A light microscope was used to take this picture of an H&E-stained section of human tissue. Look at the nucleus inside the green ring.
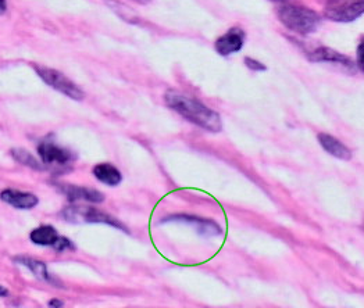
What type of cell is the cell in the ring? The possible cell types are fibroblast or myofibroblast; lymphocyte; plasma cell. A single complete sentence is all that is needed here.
On this particular slide, the cell in the ring is a fibroblast or myofibroblast.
